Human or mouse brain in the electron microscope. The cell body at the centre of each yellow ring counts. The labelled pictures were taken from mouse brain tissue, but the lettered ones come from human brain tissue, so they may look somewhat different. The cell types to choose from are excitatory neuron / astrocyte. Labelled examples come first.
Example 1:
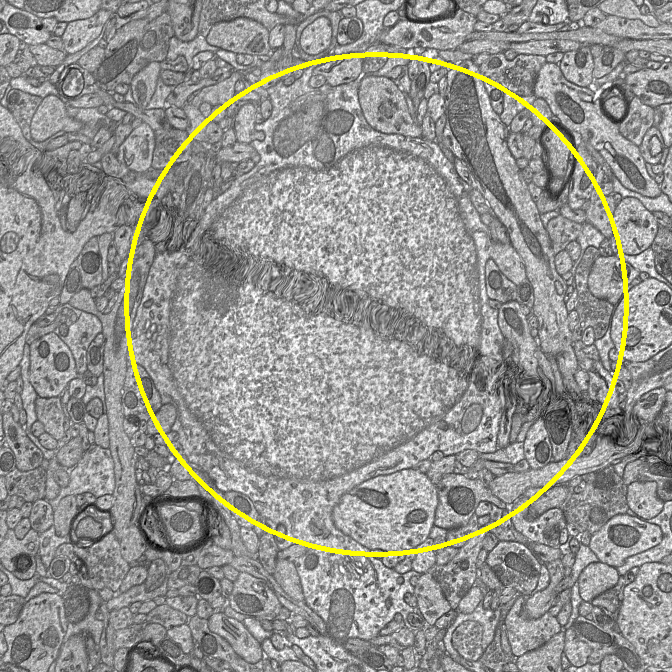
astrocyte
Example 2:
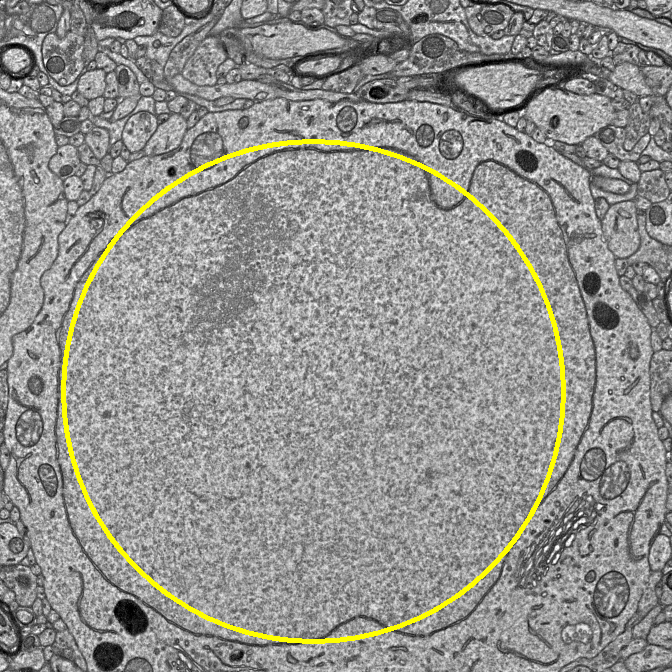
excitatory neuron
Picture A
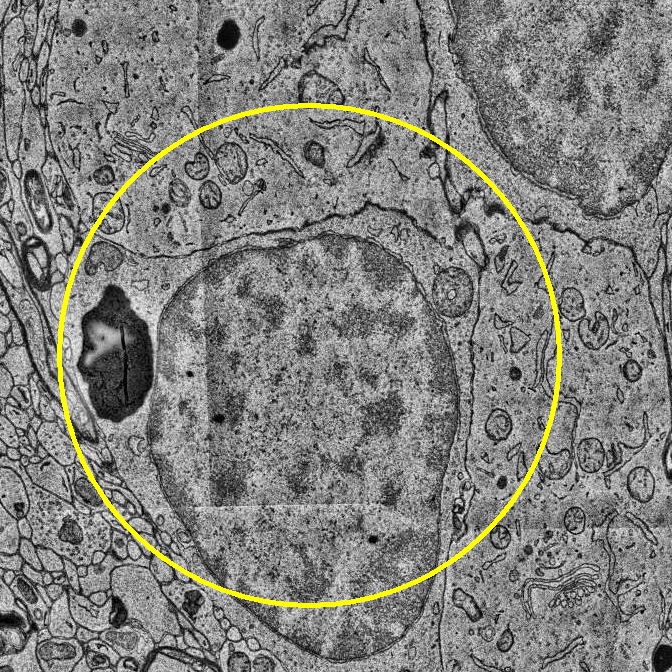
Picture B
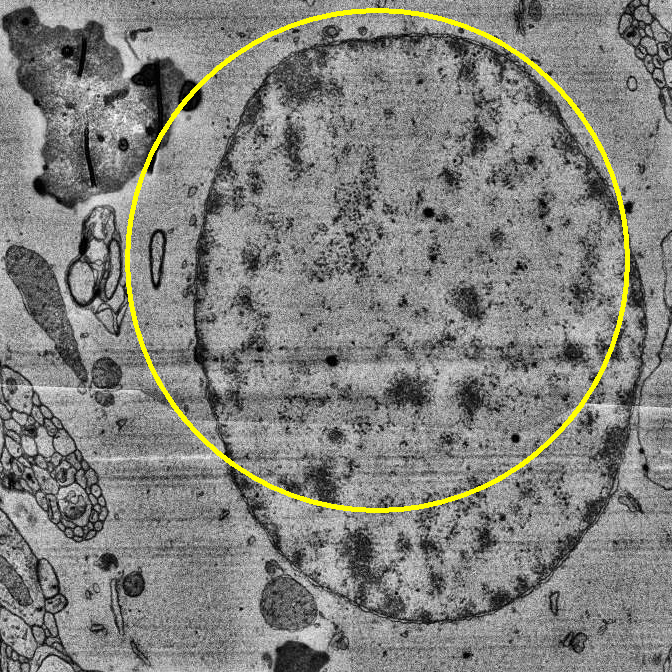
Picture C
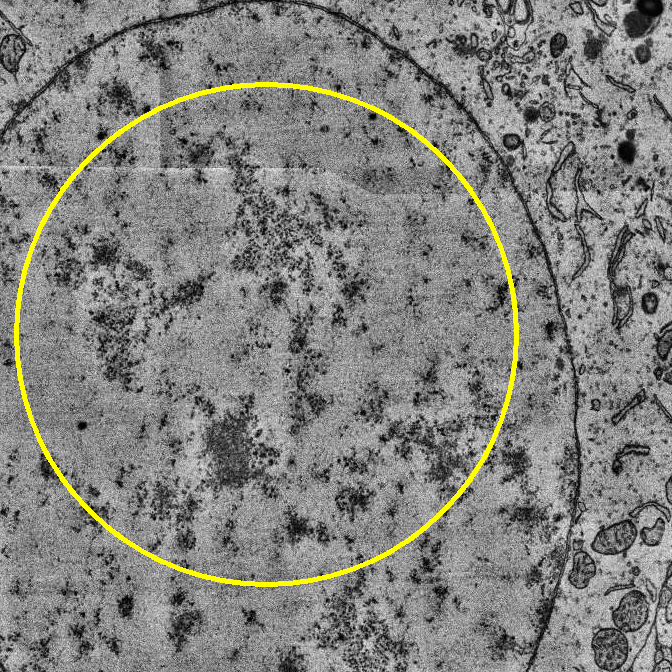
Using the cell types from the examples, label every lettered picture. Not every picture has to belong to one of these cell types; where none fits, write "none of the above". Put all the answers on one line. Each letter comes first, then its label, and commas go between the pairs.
A none of the above, B astrocyte, C excitatory neuron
